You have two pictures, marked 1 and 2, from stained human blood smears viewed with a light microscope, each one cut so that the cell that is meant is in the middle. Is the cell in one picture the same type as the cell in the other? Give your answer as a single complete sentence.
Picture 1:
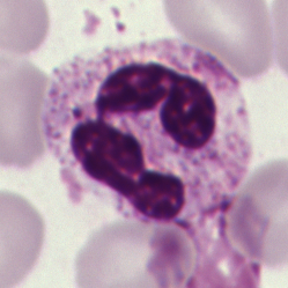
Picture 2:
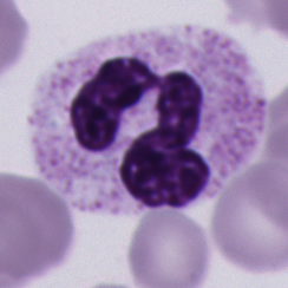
Yes, they are the same type: both are segmented neutrophils.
